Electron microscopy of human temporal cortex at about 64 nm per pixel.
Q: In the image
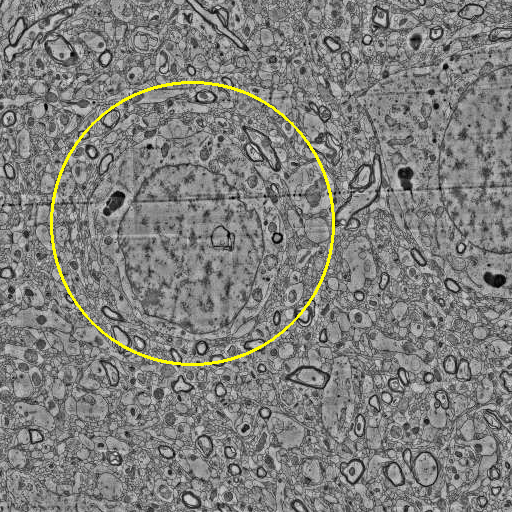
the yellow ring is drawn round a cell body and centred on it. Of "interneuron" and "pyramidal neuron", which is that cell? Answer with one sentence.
The cell centred in the ring is a pyramidal neuron.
